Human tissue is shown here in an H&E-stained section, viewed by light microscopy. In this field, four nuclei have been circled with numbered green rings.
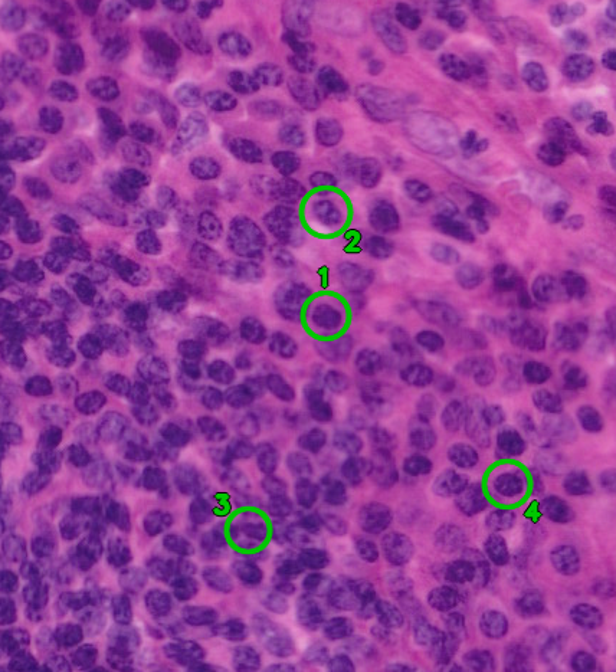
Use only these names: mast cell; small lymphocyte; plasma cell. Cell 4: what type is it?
plasma cell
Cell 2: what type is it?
plasma cell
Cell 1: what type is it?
plasma cell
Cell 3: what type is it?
small lymphocyte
